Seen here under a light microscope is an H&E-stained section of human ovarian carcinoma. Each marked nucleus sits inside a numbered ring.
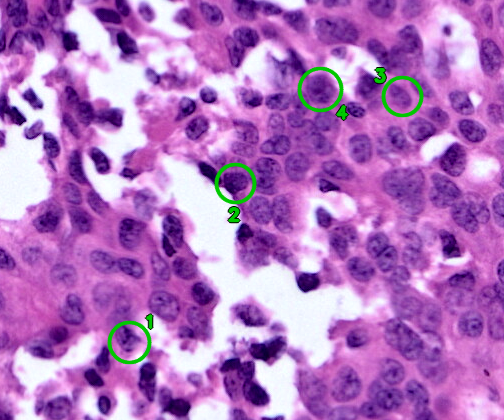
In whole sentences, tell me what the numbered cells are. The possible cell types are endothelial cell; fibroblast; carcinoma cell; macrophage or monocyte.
Cell 1 is a macrophage or monocyte, cell 2 is a carcinoma cell, cell 3 is a carcinoma cell and cell 4 is a carcinoma cell.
